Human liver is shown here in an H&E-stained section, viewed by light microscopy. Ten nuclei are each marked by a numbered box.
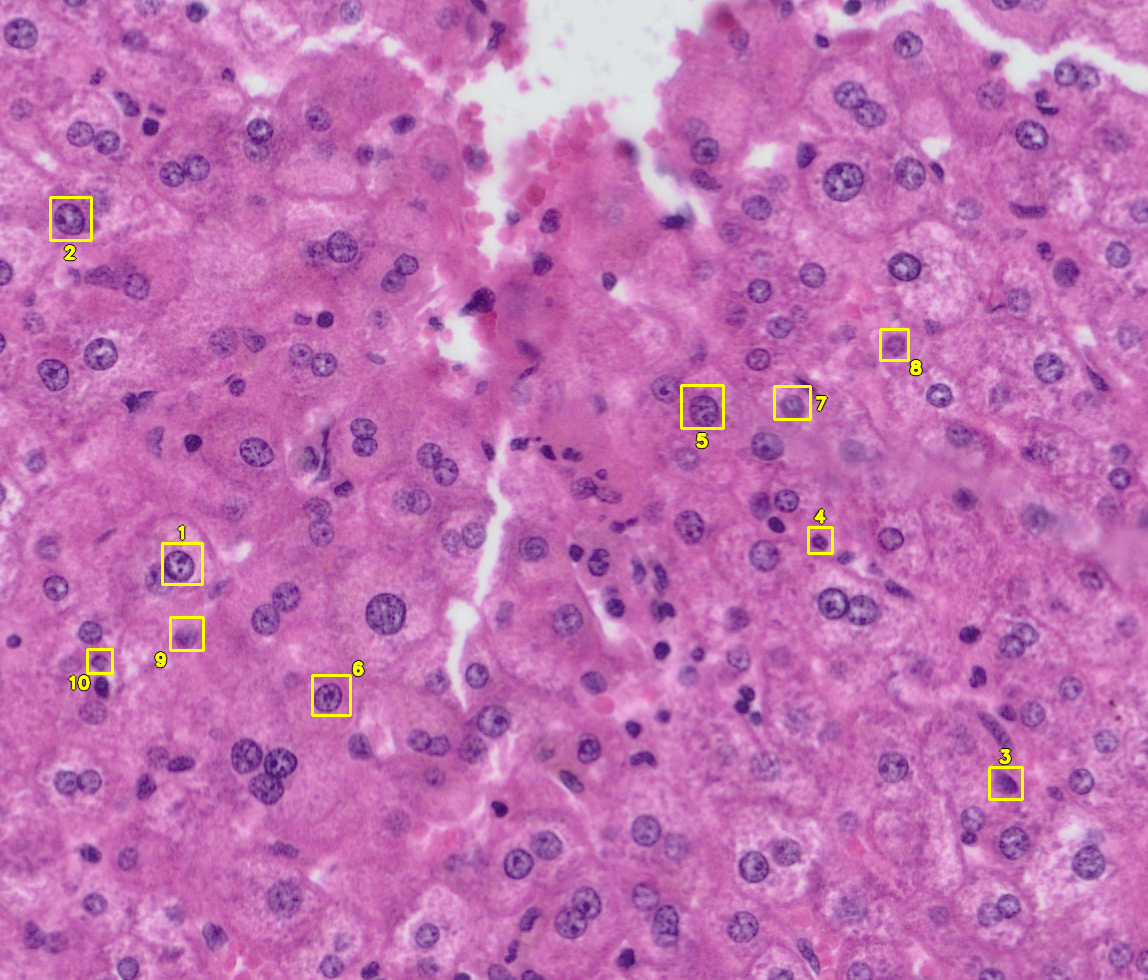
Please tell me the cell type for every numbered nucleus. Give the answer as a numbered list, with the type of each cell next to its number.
1. hepatocyte
2. hepatocyte
3. fibroblast or stellate cell
4. lymphocyte
5. hepatocyte
6. hepatocyte
7. hepatocyte
8. hepatocyte
9. endothelial cell
10. Kupffer cell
